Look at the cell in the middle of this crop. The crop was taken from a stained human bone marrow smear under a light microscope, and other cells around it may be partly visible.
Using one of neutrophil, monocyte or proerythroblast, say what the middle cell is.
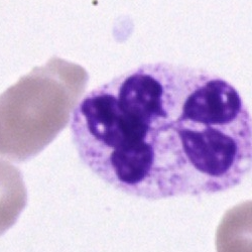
neutrophil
